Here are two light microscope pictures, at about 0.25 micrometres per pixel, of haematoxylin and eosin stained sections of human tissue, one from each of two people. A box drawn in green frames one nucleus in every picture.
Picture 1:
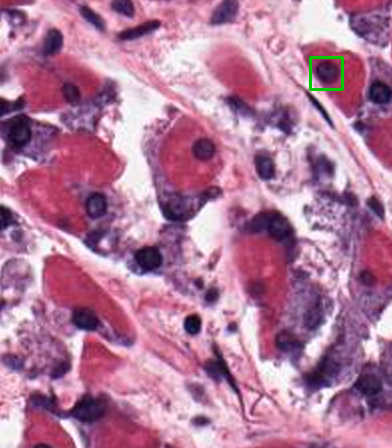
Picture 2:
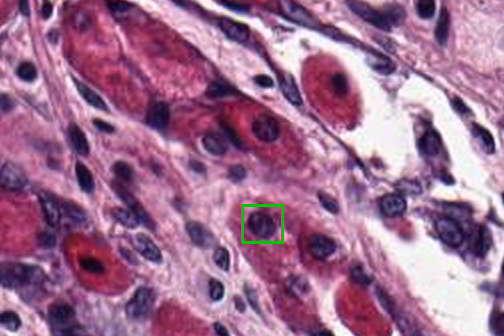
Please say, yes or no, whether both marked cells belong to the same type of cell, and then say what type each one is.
Yes, both are parietal cells.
